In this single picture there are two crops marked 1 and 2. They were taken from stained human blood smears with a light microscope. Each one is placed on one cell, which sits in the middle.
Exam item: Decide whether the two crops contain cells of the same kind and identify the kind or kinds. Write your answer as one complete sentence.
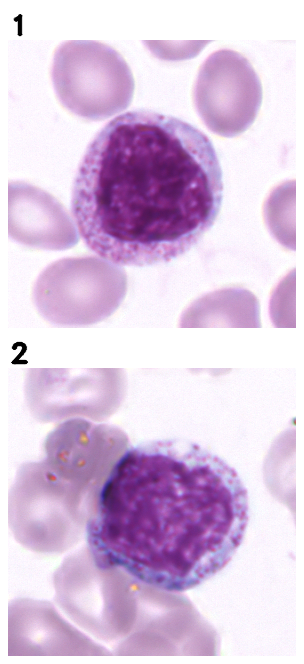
Yes, the cells at the middle of both crops are myelocytes.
